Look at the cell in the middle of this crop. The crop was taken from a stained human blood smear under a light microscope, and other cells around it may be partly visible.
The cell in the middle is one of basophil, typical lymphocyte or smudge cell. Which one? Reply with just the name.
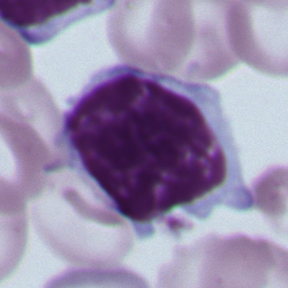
typical lymphocyte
